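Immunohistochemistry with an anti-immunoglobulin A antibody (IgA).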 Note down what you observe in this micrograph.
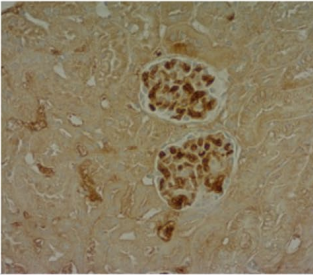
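This is kidney cortex in which two glomeruli stand out against the tubules. Within both glomerular tufts there is dense, dark brown, granular to clumped deposition filling much of the tuft. The surrounding tubules show only a faint tan background, with a few small brown spots between them. The capsule around each glomerulus is seen as a thin rim with a narrow pale space.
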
